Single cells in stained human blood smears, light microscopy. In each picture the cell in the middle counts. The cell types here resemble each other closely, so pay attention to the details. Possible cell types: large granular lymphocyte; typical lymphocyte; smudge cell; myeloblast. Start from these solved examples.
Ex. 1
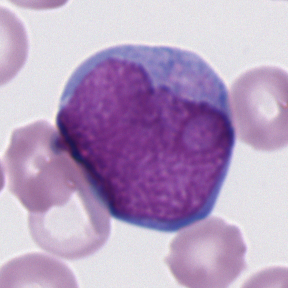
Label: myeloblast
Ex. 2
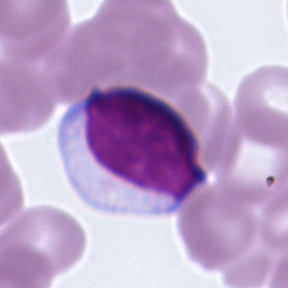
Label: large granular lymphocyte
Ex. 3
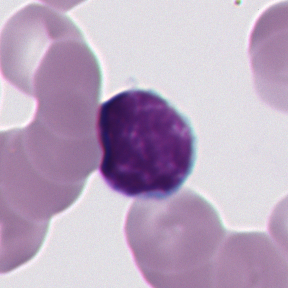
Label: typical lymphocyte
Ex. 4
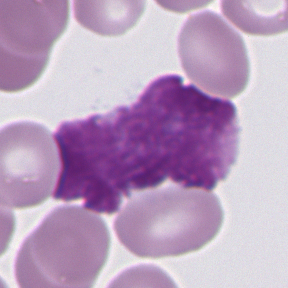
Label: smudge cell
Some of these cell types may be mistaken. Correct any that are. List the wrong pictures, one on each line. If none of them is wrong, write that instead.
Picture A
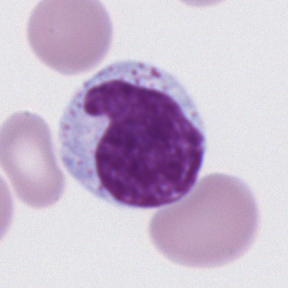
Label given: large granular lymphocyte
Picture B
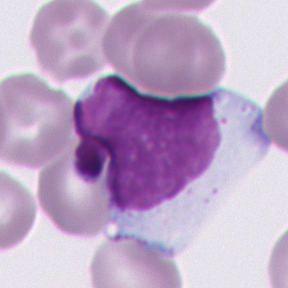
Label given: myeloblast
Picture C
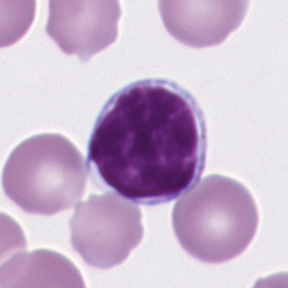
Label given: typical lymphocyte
Wrong: B (myeloblast); correct: large granular lymphocyte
